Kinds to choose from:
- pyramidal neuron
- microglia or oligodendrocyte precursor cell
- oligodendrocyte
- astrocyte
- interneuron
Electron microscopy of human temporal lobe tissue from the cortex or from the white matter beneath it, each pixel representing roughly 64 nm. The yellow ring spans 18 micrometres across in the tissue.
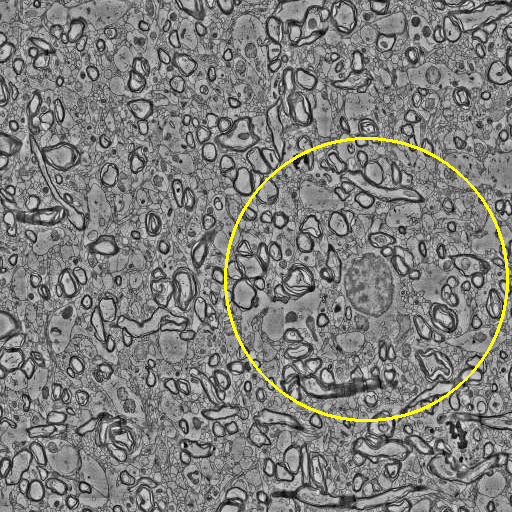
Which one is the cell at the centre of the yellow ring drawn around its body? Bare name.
oligodendrocyte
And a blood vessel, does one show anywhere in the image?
No, none is visible.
